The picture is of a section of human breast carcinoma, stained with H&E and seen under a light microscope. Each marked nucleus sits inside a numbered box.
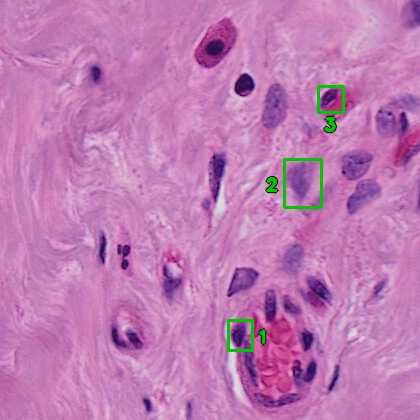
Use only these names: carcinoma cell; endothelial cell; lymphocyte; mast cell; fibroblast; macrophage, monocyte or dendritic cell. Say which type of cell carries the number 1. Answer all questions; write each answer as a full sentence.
Cell 1 should be recorded as an endothelial cell.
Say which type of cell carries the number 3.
Of the numbered cells, the one labelled 3 is an endothelial cell.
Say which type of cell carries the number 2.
The cell pointed out as number 2 is a fibroblast.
